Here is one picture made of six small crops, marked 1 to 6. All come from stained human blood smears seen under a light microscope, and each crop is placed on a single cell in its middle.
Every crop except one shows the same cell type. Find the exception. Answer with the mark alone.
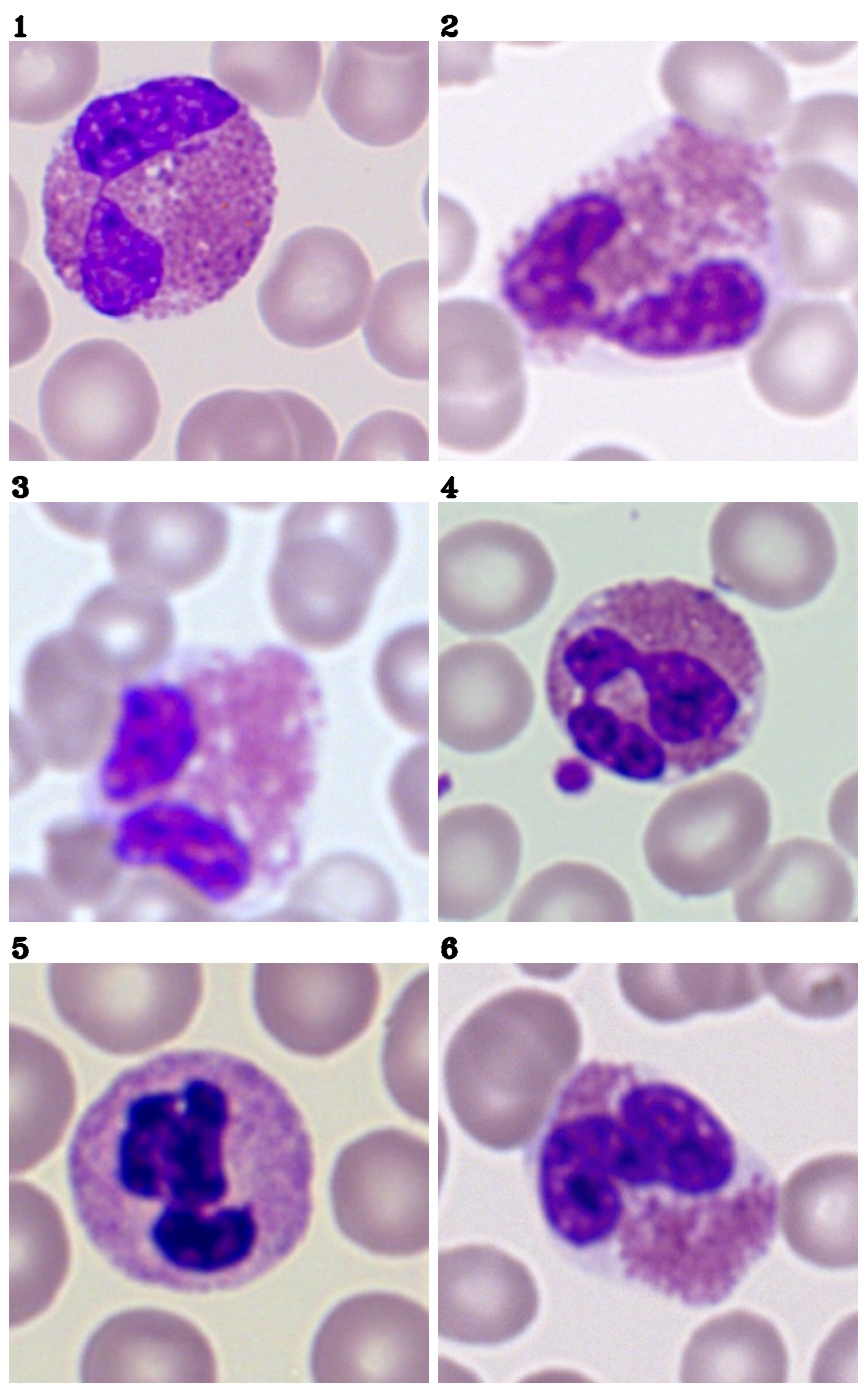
5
